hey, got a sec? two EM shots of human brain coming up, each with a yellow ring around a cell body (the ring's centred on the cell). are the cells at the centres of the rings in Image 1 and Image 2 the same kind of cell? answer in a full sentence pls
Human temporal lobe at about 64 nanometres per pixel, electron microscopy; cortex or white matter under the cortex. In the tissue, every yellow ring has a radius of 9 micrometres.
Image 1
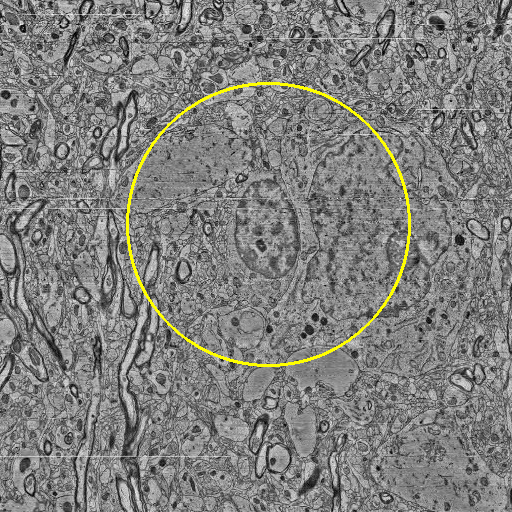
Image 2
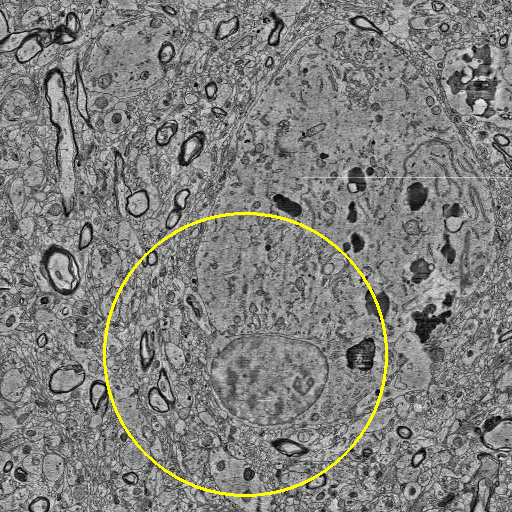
Yes, both are the same kind of cell.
